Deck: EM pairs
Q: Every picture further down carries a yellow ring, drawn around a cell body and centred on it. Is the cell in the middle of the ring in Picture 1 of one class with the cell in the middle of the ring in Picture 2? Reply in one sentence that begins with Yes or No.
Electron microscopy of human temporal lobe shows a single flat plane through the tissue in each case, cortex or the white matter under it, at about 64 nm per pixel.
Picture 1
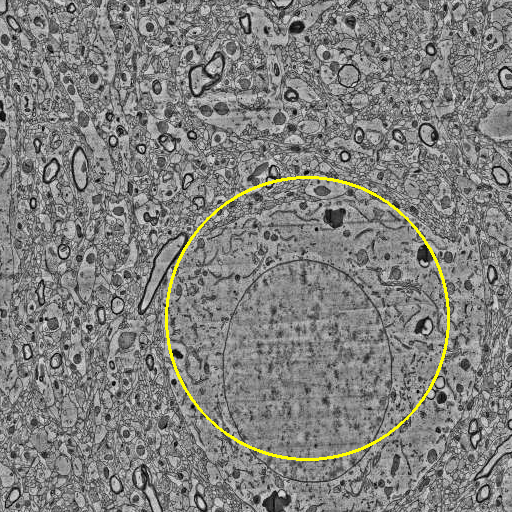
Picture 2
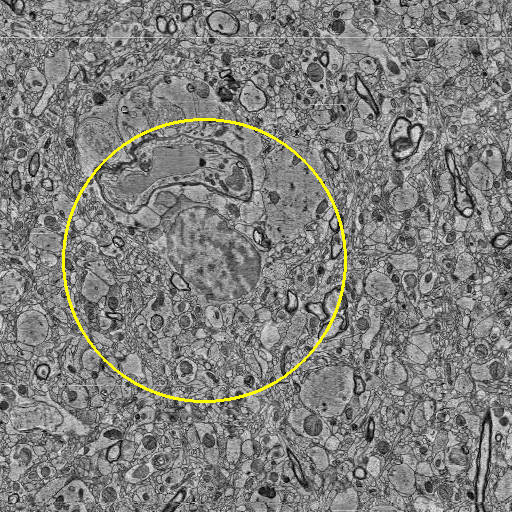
No, the cell centred in the ring of Picture 1 and the one in Picture 2 belong to separate classes.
